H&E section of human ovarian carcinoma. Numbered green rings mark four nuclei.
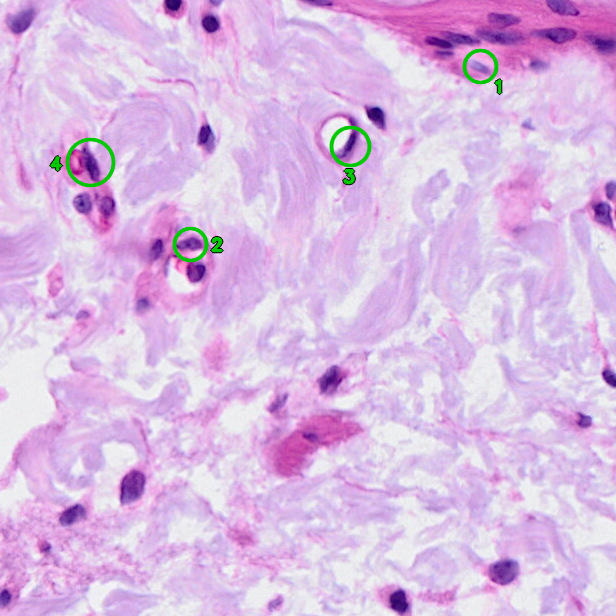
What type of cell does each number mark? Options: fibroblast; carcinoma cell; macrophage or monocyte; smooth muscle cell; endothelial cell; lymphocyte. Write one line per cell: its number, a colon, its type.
1: smooth muscle cell
2: endothelial cell
3: endothelial cell
4: endothelial cell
